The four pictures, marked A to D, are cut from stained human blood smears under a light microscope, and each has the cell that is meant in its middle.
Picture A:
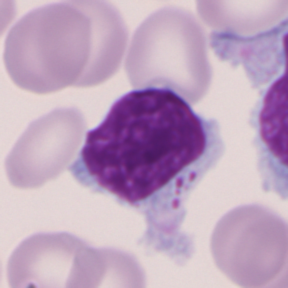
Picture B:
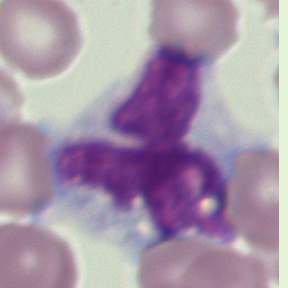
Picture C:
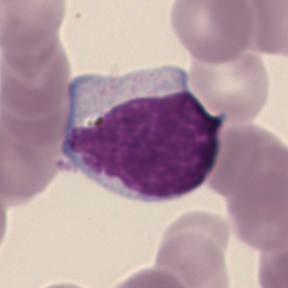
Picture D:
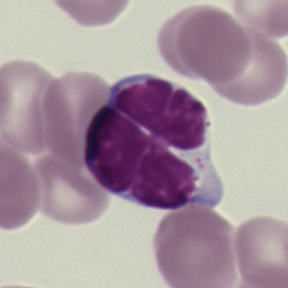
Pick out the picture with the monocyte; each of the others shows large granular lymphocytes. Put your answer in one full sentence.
Picture B shows the monocyte.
